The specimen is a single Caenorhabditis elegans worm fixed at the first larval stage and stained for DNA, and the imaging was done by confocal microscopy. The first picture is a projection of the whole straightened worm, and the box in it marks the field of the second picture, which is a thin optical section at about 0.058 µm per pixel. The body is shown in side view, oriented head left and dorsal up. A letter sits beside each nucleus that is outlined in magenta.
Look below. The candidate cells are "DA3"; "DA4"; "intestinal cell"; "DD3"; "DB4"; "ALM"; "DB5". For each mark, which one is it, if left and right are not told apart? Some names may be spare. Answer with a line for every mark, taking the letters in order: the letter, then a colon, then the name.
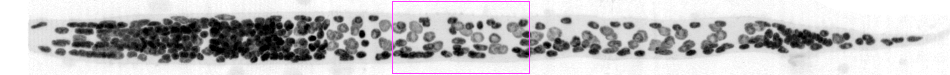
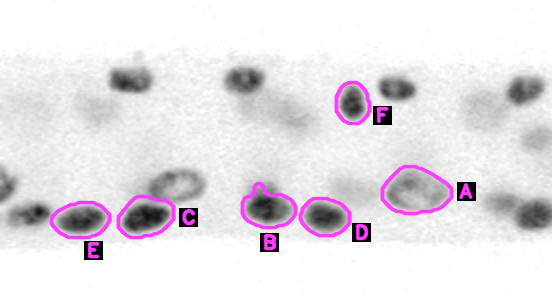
A: intestinal cell
B: DA4
C: DB4
D: DD3
E: DA3
F: ALM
